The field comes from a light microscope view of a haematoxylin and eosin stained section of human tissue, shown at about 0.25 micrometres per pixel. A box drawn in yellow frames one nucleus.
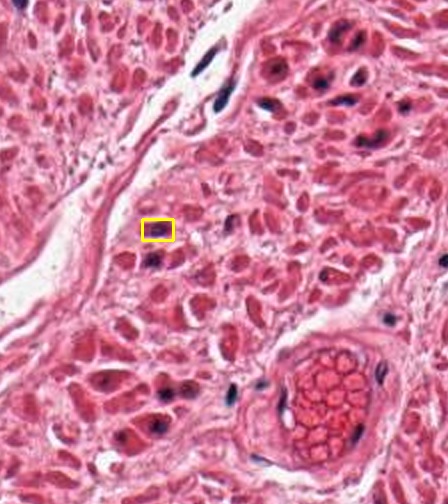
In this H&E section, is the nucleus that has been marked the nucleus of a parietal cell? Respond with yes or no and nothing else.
no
